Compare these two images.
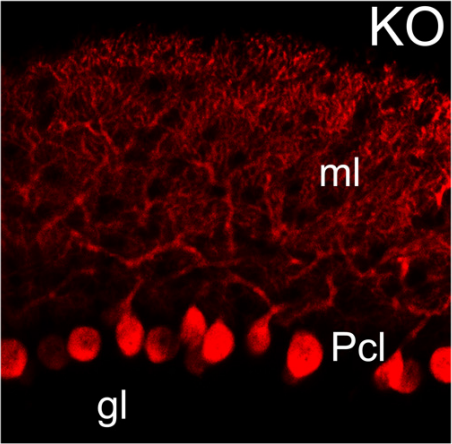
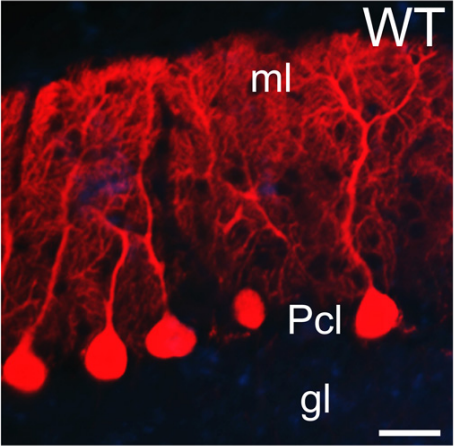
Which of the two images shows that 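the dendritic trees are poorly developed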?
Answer: the first image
